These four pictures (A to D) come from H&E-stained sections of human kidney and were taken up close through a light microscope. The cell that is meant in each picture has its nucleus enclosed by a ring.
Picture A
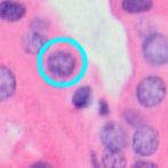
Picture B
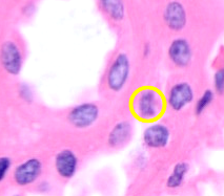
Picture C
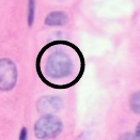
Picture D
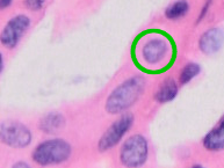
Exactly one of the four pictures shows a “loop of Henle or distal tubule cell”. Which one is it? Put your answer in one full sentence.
Picture B is the one that shows the “loop of Henle or distal tubule cell”.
